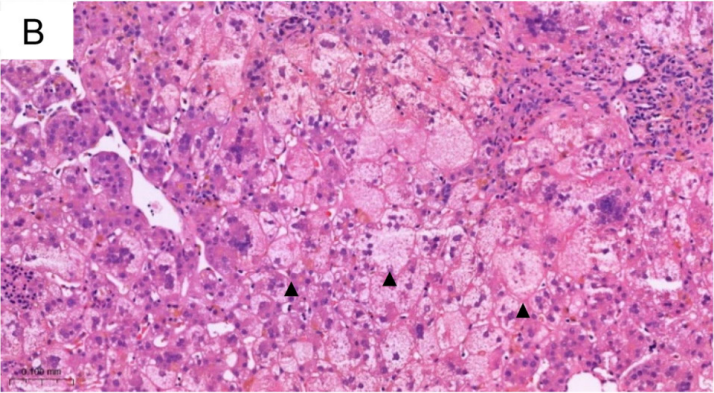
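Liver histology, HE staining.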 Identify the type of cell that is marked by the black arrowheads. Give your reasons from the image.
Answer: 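The marked cells are much larger than the surrounding hepatocytes. Their cytoplasm is pale and finely vacuolated. They lie among cords of smaller pink liver cells. That points to this answer: swollen hepatocellular giant cells.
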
